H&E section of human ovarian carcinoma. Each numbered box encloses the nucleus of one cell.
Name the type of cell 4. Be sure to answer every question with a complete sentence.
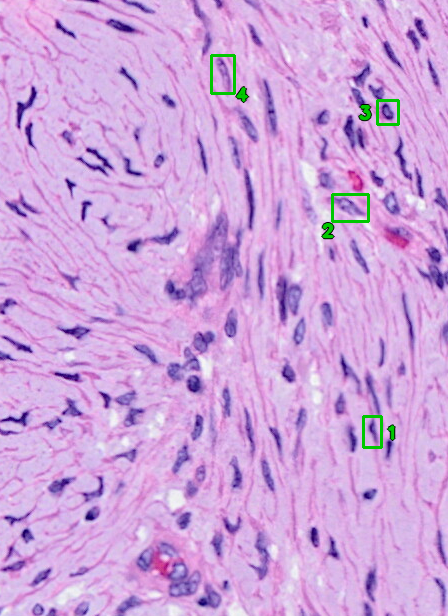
The cell identified by the number 4 is a fibroblast.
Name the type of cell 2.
Classified as a fibroblast is the cell with the number 2.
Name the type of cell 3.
The cell marked with number 3 is a macrophage or monocyte.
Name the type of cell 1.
Identified as a fibroblast is the cell bearing the number 1.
